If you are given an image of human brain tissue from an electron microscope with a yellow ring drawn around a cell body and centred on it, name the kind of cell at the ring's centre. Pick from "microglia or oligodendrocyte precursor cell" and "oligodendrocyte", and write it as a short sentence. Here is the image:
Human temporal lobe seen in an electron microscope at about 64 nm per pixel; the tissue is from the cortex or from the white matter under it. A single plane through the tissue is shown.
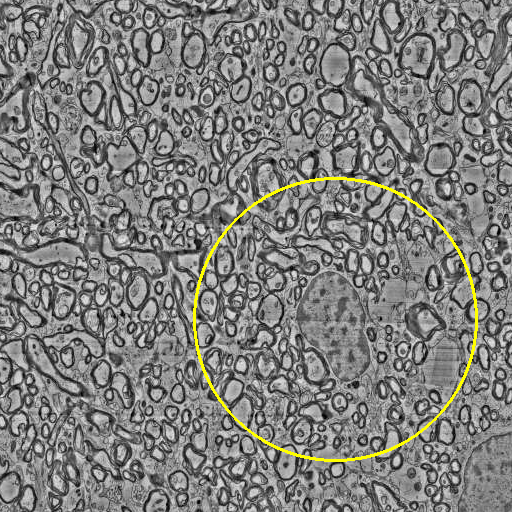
The cell at the ring's centre is a microglial cell or oligodendrocyte precursor cell.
